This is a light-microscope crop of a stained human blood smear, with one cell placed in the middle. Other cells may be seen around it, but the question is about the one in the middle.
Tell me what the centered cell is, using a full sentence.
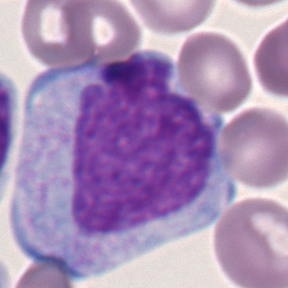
In the center of this field lies a promyelocyte.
